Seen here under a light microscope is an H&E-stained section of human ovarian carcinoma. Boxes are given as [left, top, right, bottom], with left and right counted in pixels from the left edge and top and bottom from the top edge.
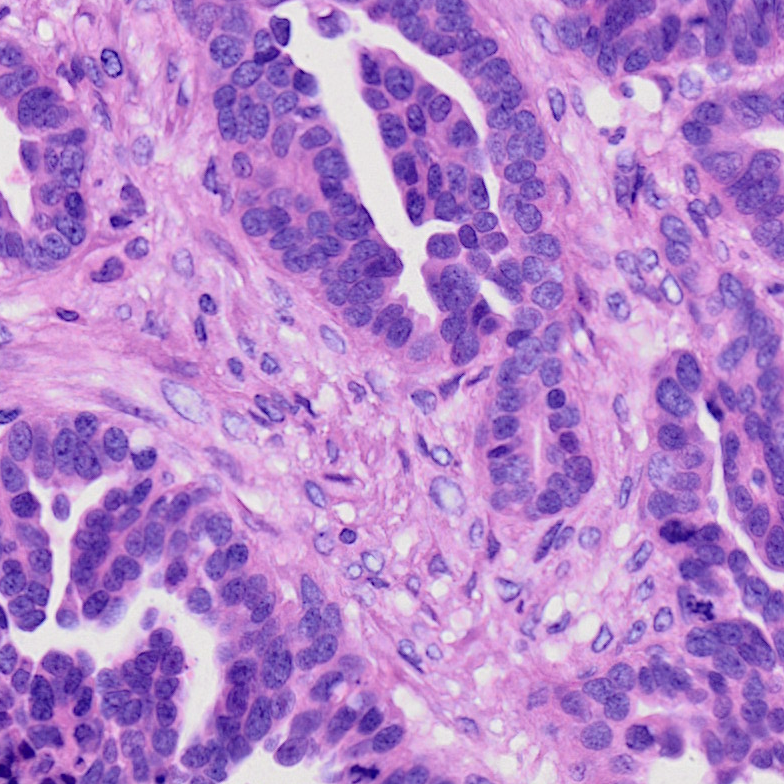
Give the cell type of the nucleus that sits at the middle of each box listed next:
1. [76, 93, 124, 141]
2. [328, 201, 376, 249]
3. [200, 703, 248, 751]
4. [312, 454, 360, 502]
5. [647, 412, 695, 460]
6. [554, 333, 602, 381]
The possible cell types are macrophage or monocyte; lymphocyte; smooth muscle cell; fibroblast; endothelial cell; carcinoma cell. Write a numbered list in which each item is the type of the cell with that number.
1. fibroblast
2. carcinoma cell
3. carcinoma cell
4. fibroblast
5. carcinoma cell
6. fibroblast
